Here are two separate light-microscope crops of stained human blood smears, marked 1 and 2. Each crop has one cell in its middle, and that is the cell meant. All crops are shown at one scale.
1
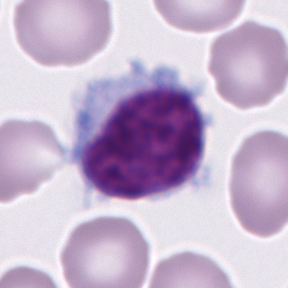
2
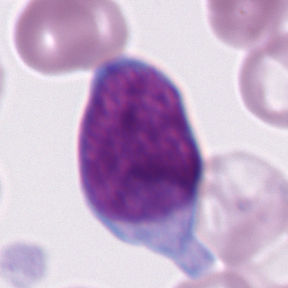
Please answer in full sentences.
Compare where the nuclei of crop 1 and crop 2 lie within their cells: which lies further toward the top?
Seen within its cell, the nucleus in crop 2 lies further toward the top.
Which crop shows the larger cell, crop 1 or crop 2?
Larger is the cell in crop 2, at roughly 1.5 times the area of the other.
